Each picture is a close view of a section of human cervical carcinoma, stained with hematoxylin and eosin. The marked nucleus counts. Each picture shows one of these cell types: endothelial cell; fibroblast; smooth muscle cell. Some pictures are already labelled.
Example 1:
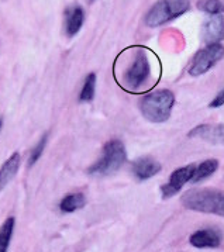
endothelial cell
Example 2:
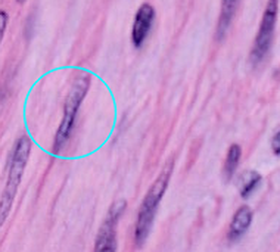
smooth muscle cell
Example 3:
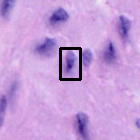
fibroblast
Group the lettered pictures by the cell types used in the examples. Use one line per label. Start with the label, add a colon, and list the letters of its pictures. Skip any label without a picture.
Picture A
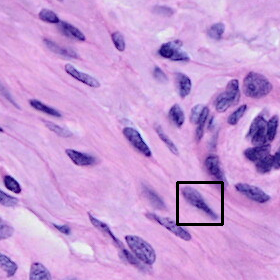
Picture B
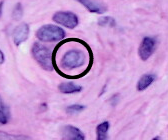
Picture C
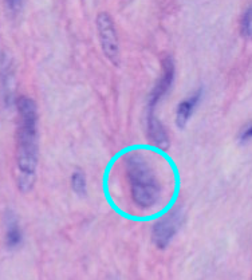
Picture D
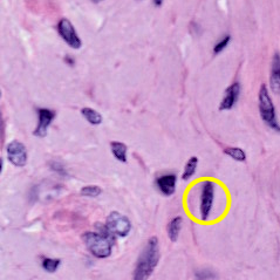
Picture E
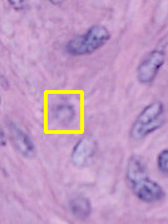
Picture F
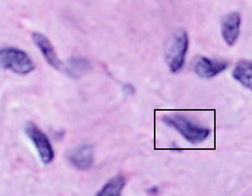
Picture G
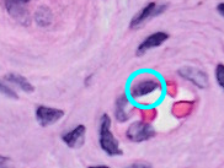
endothelial cell: B, G
fibroblast: A, D, F
smooth muscle cell: C, E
